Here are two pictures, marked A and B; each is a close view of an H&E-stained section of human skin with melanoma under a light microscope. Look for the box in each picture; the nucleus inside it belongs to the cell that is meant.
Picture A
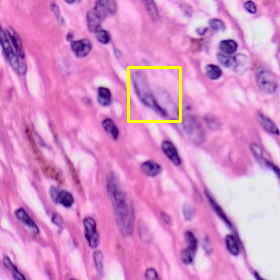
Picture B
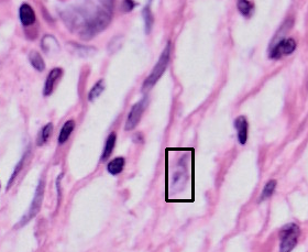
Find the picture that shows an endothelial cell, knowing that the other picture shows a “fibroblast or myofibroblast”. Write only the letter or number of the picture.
A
